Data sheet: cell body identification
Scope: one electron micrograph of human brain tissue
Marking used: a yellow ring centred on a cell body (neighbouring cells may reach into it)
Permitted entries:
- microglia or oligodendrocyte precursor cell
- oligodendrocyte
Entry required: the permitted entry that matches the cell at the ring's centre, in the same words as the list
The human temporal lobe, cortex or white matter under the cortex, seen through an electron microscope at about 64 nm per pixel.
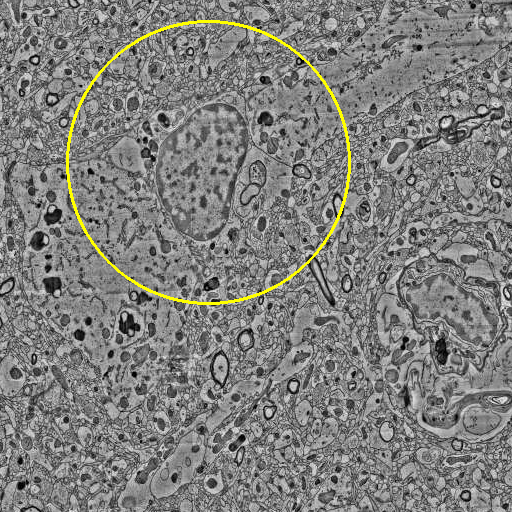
microglia or oligodendrocyte precursor cell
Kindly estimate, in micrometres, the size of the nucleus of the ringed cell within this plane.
The nucleus is approximately 9 micrometers long by 5 micrometers wide in this plane.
